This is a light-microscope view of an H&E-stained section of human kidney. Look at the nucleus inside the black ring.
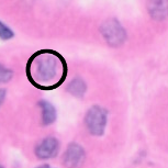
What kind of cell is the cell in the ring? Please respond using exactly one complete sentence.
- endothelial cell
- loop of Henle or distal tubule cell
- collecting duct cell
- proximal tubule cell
Cytologically, the cell in the ring is to be regarded as a loop of Henle or distal tubule cell.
